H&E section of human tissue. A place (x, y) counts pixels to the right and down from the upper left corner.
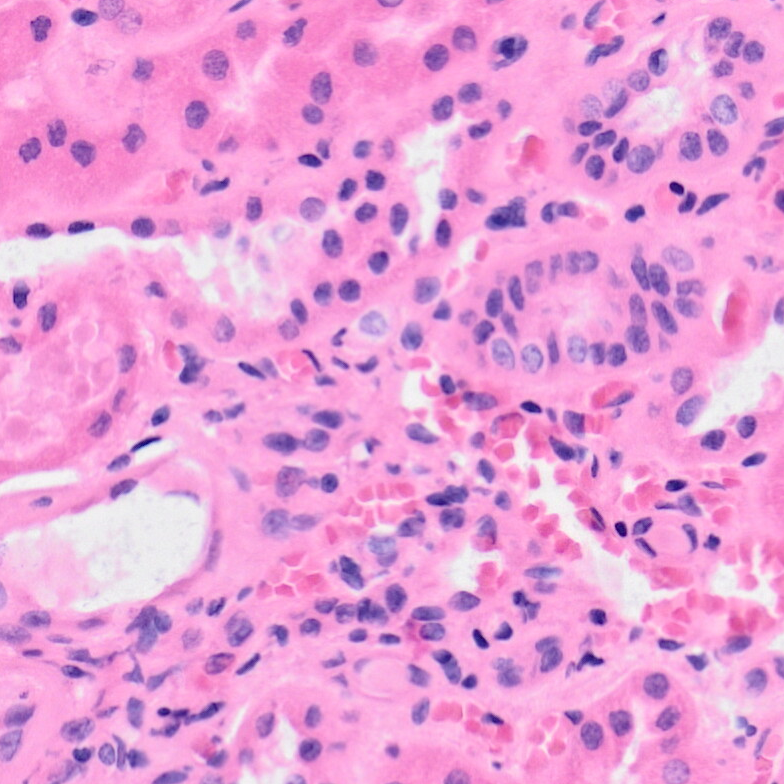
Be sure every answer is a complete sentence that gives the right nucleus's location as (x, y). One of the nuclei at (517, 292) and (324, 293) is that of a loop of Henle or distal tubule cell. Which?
The nucleus lying at (324, 293) is the nucleus of a loop of Henle or distal tubule cell.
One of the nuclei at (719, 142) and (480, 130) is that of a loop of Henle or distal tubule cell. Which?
The nucleus of the pair that lies within a loop of Henle or distal tubule cell is at (480, 130).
